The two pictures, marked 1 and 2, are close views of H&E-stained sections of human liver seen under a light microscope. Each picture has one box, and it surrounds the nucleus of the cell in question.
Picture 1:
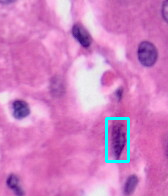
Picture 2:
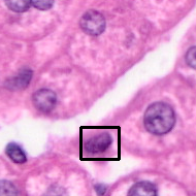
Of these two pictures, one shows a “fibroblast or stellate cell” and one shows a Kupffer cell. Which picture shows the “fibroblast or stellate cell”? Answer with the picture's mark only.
1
